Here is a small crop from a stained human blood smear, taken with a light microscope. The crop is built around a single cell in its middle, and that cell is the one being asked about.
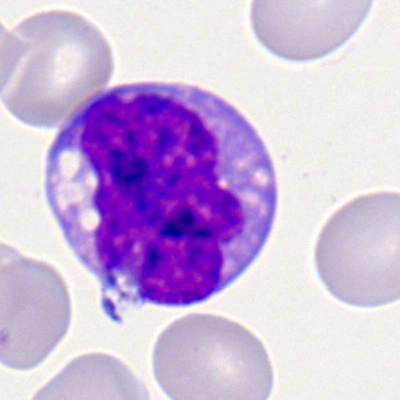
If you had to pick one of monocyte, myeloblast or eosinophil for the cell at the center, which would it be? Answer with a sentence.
The cell at the middle of the frame should be recorded as a monocyte.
